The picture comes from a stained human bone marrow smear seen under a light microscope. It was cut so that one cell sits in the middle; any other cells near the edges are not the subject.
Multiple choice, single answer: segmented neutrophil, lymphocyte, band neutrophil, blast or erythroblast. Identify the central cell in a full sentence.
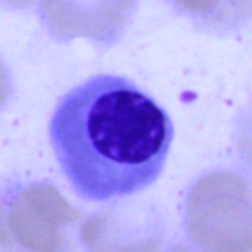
Answering briefly, the cell in the middle is an erythroblast.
